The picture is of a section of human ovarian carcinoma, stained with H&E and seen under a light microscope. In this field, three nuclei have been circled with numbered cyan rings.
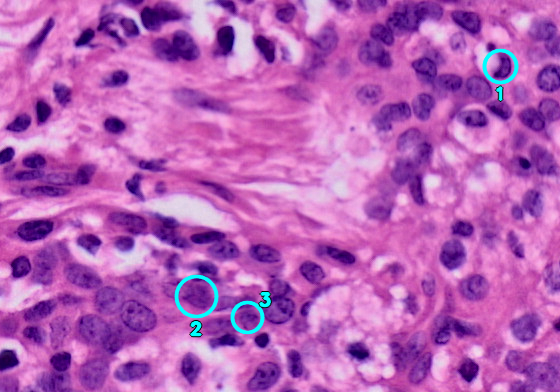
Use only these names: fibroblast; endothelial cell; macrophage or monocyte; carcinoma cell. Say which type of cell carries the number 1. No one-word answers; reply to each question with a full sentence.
The cell bearing label 1 corresponds to a macrophage or monocyte.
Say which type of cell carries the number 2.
The cell to which the number 2 is assigned is a carcinoma cell.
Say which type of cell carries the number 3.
The cell that carries the label 3 is a carcinoma cell.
